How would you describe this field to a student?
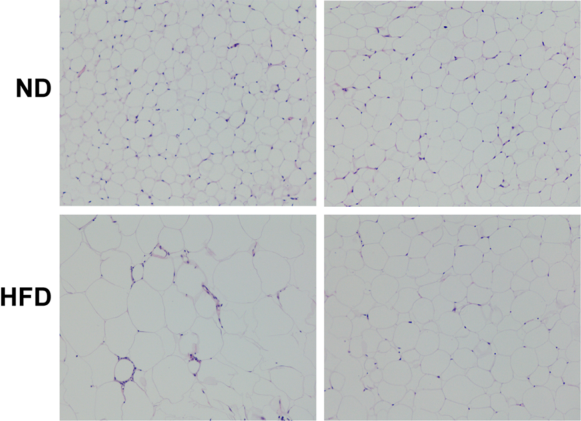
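These are sections of adipose tissue made almost entirely of adipocytes. Small, flattened purple nuclei sit pressed at the edges of the cells. In the lower left image the adipocytes are much larger and fewer across the same field, with small clusters of purple nuclei lying between them.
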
